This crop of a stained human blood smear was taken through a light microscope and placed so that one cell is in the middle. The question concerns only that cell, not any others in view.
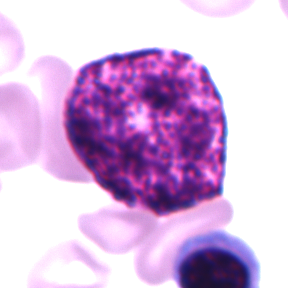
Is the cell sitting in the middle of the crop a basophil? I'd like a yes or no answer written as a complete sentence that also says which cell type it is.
Yes, the cell in the middle is a basophil.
